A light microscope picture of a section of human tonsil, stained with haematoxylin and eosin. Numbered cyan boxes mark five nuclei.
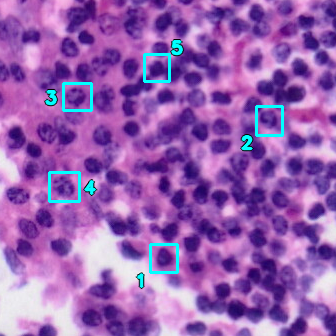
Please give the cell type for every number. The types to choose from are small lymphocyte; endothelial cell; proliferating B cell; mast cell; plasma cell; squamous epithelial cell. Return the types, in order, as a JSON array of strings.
["plasma cell", "small lymphocyte", "plasma cell", "plasma cell", "small lymphocyte"]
